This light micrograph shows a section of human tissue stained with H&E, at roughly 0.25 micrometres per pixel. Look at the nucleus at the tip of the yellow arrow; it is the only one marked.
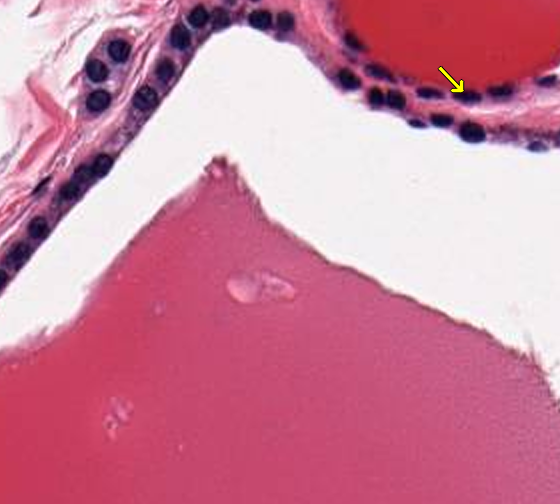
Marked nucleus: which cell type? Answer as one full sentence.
Indicated by the mark is a nucleus that belongs to a thyroid follicular cell.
